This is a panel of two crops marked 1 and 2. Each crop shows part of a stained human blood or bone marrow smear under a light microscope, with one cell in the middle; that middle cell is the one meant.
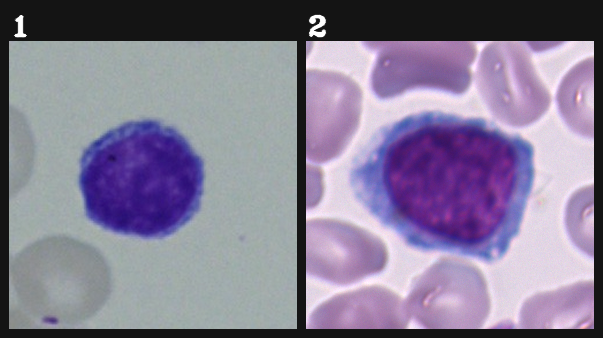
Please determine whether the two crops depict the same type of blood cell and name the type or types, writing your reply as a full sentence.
No, the middle of crop 1 holds a lymphocyte, and the middle of crop 2 holds a blast.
